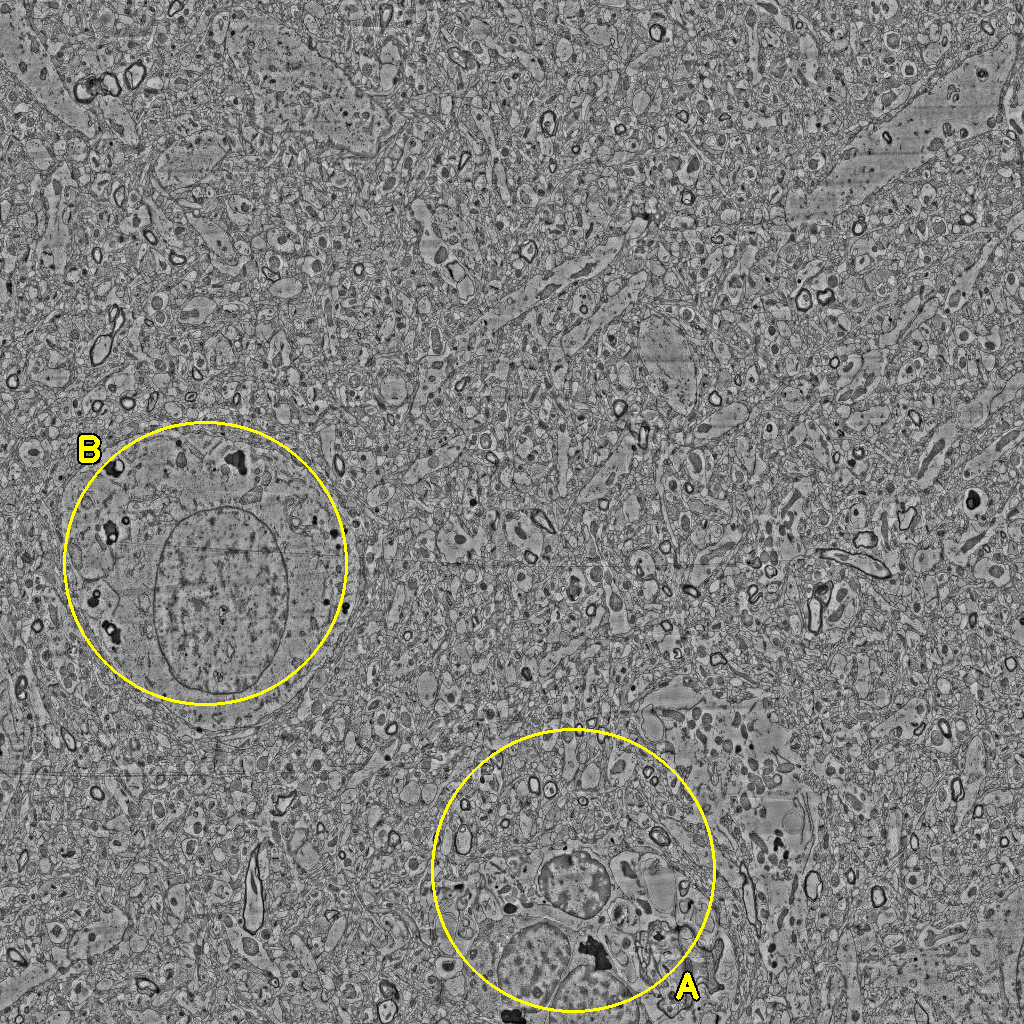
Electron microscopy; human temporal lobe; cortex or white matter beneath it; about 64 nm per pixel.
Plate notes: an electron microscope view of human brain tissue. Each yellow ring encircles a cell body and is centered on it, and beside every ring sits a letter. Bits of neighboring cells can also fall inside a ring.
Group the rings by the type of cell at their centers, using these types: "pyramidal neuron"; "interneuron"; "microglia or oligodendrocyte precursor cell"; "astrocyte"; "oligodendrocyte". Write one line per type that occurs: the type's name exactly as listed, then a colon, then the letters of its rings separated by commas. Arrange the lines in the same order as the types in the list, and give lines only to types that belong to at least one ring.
pyramidal neuron: B
microglia or oligodendrocyte precursor cell: A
